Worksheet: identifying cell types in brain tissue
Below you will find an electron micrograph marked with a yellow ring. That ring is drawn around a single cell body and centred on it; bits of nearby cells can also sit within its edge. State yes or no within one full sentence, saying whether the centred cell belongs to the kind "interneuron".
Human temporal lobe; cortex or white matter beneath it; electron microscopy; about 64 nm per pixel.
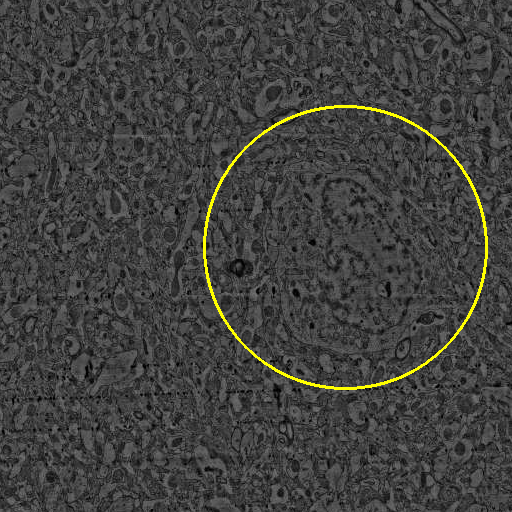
Yes, the cell sitting at the centre of the yellow ring in this picture is of that kind.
